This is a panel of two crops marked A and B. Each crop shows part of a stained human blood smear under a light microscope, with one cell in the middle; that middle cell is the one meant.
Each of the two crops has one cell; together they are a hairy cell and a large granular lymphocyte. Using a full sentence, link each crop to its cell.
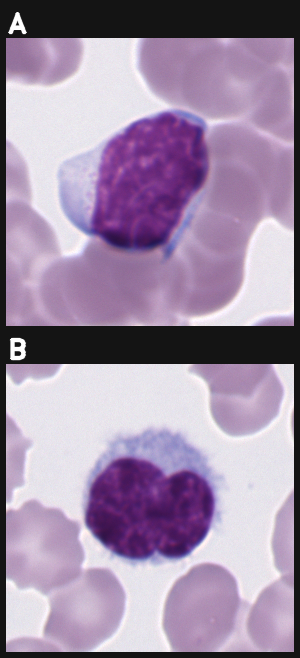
The designated cell in crop A is a large granular lymphocyte, and the designated cell in crop B is a hairy cell.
